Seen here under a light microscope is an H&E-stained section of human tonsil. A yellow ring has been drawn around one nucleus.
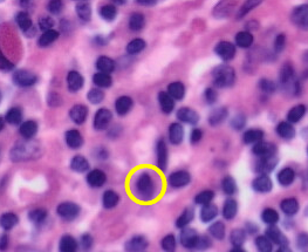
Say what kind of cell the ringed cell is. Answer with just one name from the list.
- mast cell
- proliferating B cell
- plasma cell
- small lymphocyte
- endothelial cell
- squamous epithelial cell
endothelial cell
